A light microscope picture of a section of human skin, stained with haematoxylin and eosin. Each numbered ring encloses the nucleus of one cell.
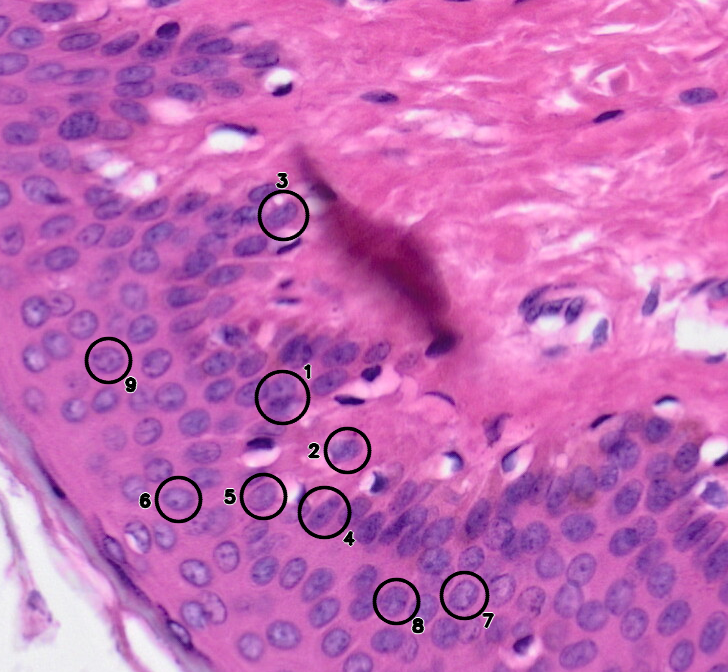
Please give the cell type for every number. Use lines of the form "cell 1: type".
cell 1: basal keratinocyte
cell 2: fibroblast
cell 3: basal keratinocyte
cell 4: basal keratinocyte
cell 5: basal keratinocyte
cell 6: suprabasal keratinocyte
cell 7: suprabasal keratinocyte
cell 8: suprabasal keratinocyte
cell 9: suprabasal keratinocyte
